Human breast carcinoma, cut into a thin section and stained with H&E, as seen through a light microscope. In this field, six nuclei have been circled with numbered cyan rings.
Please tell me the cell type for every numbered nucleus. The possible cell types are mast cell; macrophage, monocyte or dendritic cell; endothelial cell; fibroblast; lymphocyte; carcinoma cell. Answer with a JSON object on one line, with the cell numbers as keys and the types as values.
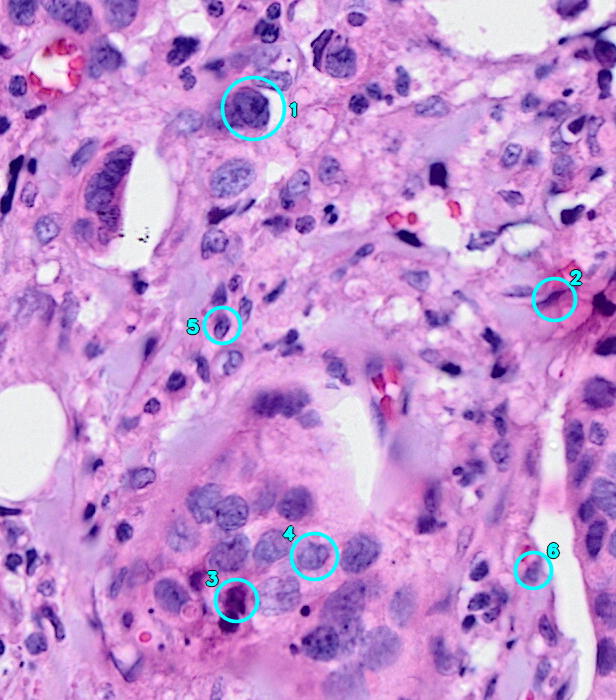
{"1": "carcinoma cell", "2": "endothelial cell", "3": "carcinoma cell", "4": "carcinoma cell", "5": "mast cell", "6": "endothelial cell"}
